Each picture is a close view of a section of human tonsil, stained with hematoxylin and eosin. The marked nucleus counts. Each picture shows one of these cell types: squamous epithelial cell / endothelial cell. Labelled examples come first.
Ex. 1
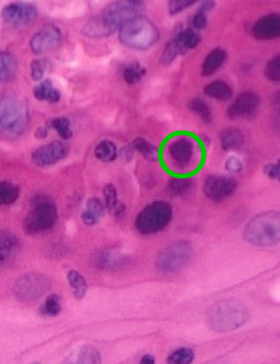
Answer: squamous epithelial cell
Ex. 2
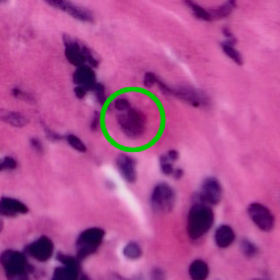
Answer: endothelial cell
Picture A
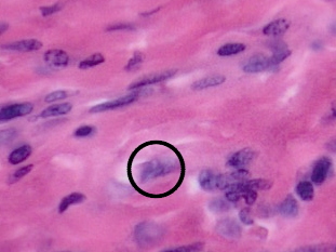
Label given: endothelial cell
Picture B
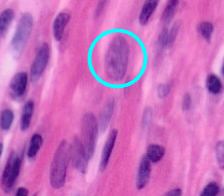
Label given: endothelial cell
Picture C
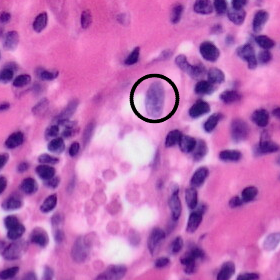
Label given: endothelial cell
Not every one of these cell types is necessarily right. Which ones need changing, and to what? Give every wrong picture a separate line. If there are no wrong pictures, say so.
All labels are correct.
